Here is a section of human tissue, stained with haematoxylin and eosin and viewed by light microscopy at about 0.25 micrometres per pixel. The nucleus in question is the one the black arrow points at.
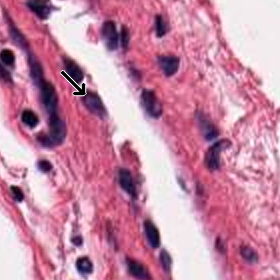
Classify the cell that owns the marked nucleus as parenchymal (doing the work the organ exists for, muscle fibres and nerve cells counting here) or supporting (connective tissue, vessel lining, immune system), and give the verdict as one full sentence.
The marked nucleus is contained in a supporting cell.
